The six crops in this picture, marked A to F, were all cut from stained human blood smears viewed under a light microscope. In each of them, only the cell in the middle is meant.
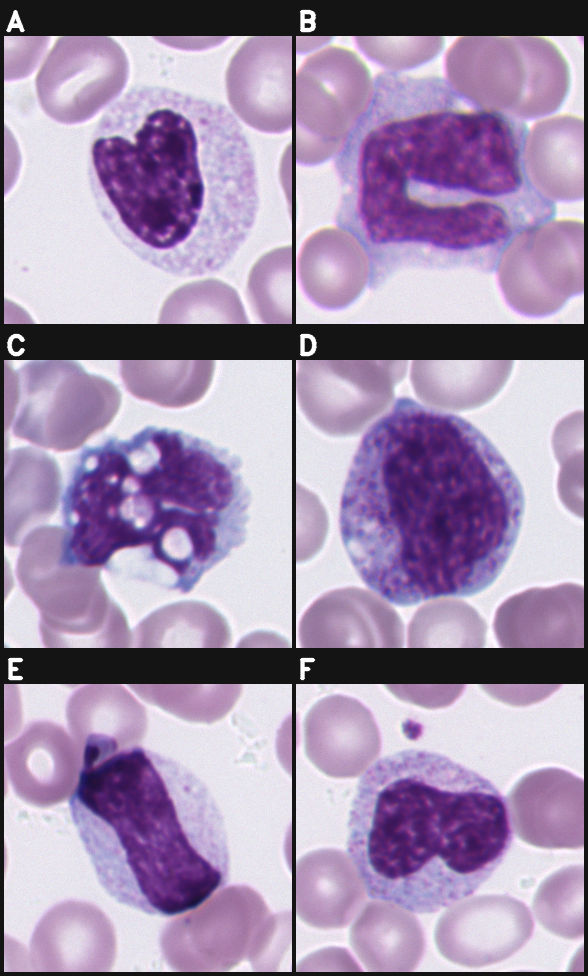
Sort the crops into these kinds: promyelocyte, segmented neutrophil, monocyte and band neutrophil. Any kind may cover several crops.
A: band neutrophil
B: monocyte
C: monocyte
D: promyelocyte
E: band neutrophil
F: band neutrophil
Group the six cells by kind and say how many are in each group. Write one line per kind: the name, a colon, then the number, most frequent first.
band neutrophil: 3
monocyte: 2
promyelocyte: 1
